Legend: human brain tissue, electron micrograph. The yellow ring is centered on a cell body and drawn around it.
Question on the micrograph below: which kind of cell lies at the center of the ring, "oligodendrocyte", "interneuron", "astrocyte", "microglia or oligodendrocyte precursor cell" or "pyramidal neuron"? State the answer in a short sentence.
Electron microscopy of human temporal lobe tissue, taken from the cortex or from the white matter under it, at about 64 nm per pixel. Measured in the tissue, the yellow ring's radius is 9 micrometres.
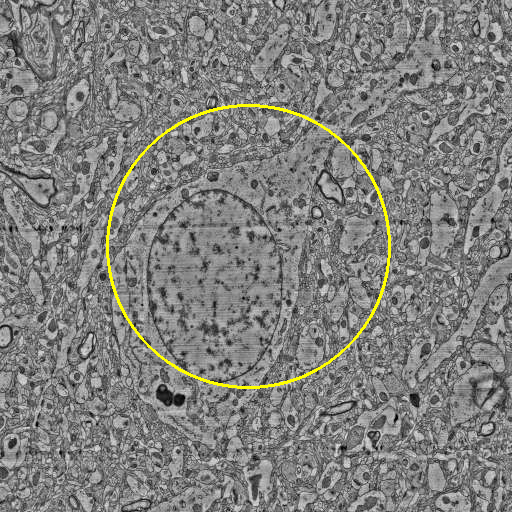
At the center of the ring lies a pyramidal neuron.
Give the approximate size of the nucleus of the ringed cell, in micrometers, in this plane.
The nucleus works out at approximately 12 by 9 micrometres in this plane.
